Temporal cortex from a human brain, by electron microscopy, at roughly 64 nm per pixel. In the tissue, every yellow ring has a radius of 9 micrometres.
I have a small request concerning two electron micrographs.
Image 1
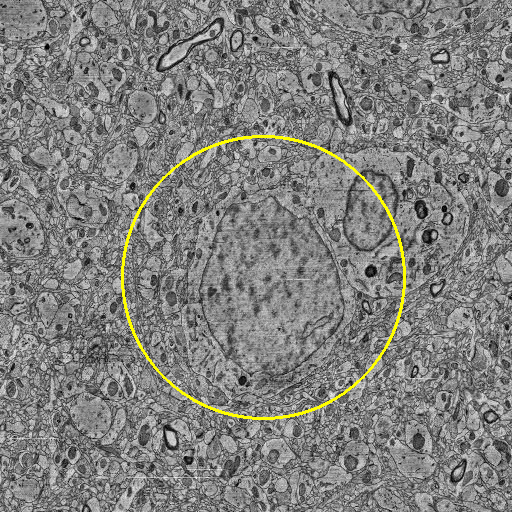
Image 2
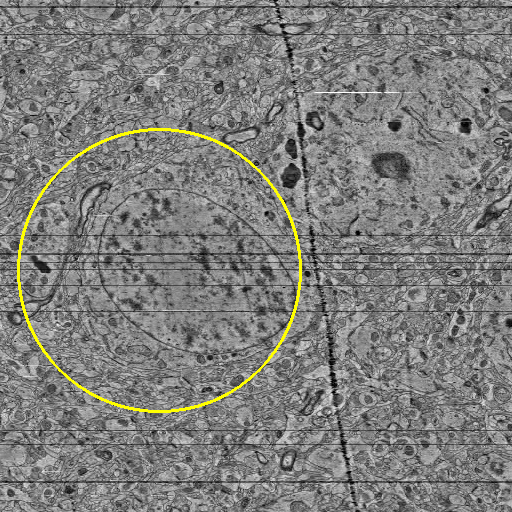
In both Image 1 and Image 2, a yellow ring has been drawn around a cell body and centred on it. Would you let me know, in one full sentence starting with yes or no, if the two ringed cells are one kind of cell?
No, the cells ringed in Image 1 and Image 2 are two kinds of cell.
